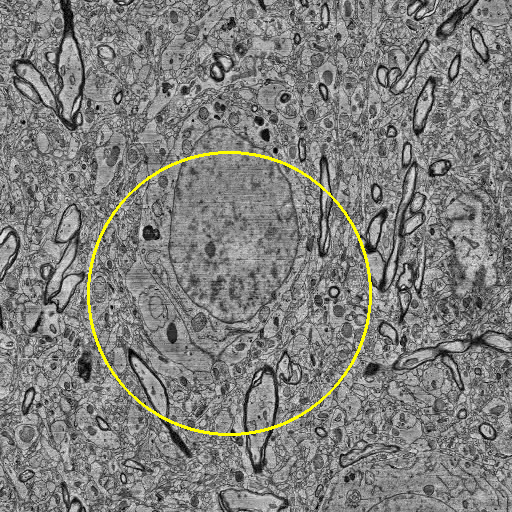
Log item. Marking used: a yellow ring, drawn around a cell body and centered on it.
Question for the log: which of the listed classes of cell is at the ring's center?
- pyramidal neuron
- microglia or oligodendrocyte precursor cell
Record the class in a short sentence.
At the center of the ring lies a pyramidal neuron.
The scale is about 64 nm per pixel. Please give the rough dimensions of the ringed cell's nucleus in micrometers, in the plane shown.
Approximately 13 micrometres long and 8 micrometres wide, so clearly longer than it is wide in this plane.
